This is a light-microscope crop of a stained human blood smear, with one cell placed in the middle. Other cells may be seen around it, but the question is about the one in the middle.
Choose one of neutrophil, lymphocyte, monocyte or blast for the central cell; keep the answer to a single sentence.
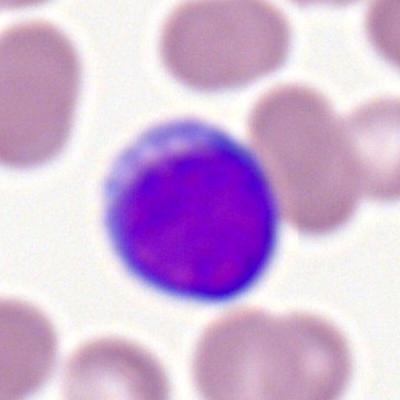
The cell of interest, in the center, is a blast.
